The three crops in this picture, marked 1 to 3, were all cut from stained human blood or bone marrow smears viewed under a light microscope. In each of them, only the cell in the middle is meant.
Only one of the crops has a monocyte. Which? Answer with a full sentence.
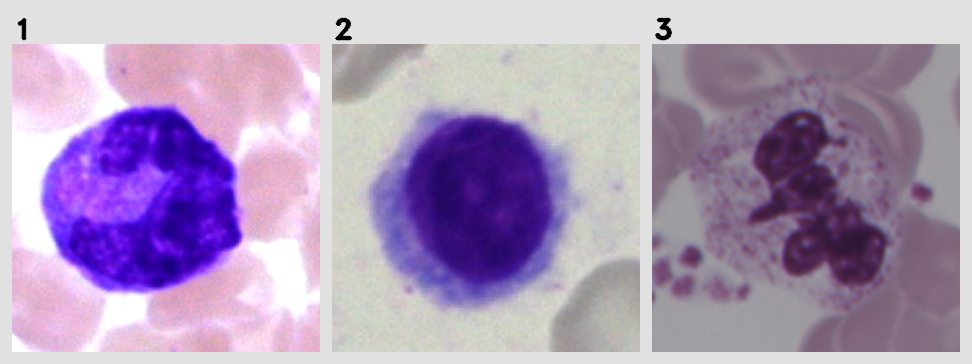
Here the crop that shows a monocyte is crop 1.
